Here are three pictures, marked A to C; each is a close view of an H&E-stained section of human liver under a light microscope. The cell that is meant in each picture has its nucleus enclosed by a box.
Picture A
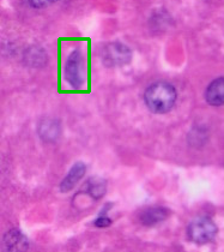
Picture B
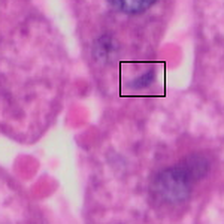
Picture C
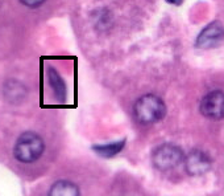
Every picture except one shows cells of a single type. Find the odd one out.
A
